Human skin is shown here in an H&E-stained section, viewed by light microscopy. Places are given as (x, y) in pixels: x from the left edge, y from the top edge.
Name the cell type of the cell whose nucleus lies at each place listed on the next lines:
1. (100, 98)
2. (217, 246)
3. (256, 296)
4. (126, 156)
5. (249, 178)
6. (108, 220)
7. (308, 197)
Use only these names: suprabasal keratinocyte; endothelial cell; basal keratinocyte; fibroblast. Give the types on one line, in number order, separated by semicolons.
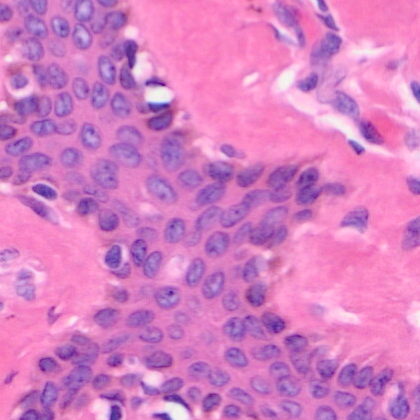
suprabasal keratinocyte; suprabasal keratinocyte; basal keratinocyte; suprabasal keratinocyte; basal keratinocyte; basal keratinocyte; basal keratinocyte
